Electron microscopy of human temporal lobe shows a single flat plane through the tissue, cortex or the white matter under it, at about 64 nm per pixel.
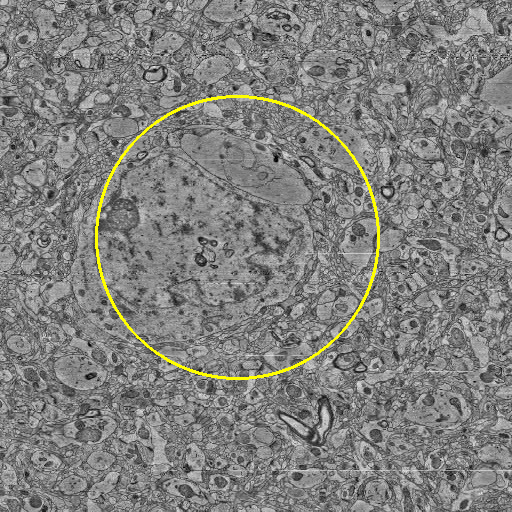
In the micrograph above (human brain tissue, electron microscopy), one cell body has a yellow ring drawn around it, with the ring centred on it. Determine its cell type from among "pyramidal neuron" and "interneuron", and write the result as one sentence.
The cell whose body is ringed is an interneuron.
